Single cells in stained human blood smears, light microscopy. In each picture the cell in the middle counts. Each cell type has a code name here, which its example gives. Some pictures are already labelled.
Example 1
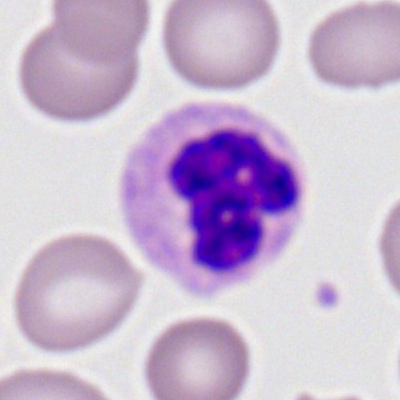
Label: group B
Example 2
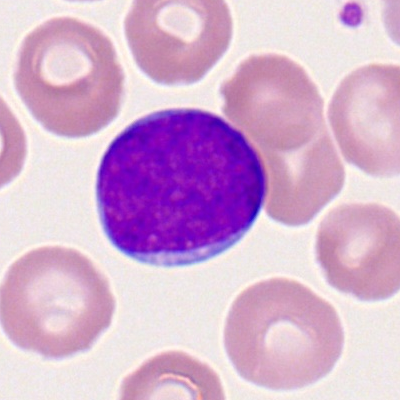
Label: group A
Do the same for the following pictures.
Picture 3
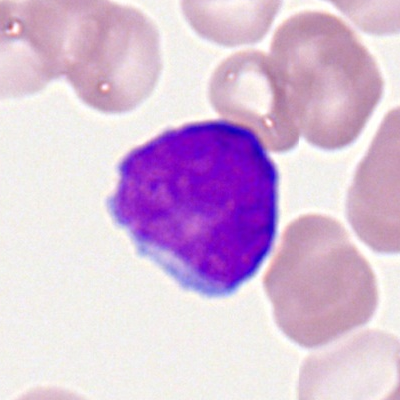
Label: group A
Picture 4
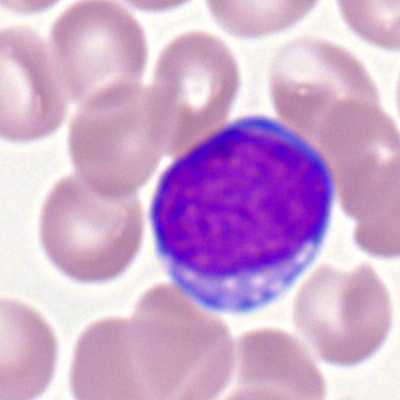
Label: group A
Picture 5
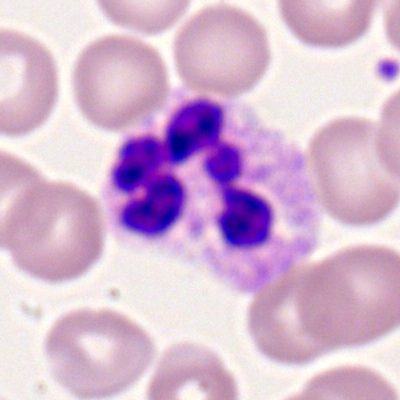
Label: group B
